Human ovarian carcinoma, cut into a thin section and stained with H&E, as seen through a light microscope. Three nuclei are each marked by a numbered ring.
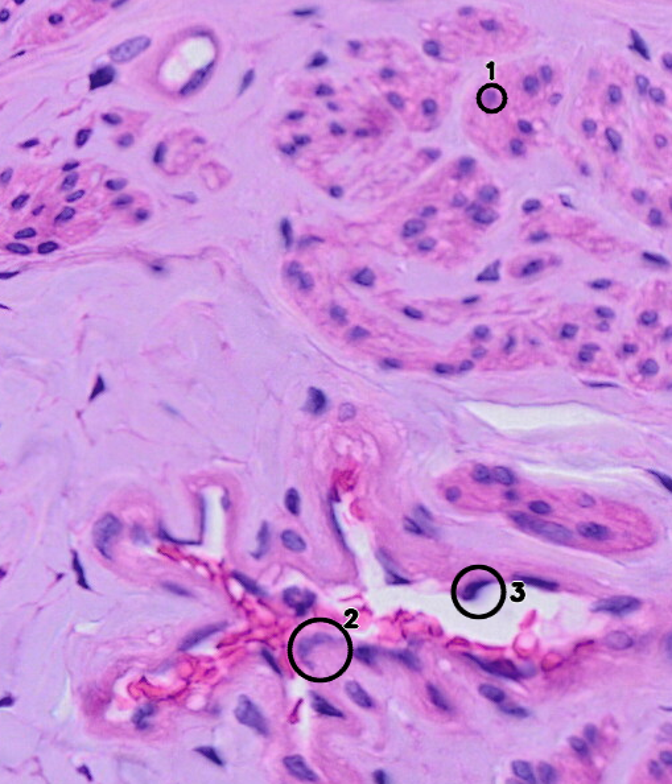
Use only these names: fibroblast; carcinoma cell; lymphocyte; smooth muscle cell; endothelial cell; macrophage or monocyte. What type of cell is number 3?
endothelial cell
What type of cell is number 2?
endothelial cell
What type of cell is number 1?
smooth muscle cell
